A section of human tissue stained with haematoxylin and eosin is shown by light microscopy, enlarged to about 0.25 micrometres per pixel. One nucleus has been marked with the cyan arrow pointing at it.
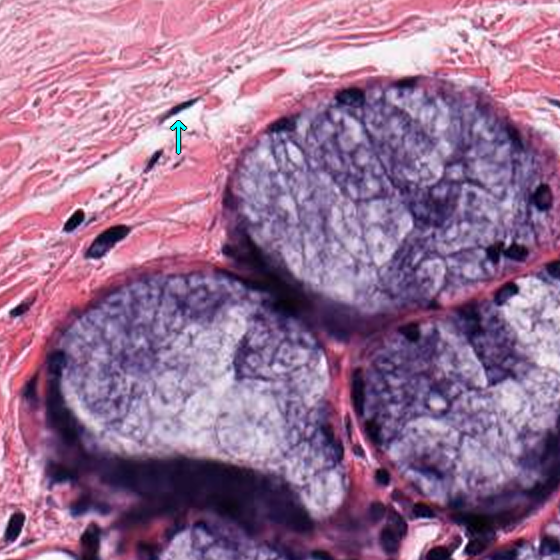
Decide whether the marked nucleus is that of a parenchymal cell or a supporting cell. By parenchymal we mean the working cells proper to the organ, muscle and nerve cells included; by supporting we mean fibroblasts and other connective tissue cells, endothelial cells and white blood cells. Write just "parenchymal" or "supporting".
supporting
